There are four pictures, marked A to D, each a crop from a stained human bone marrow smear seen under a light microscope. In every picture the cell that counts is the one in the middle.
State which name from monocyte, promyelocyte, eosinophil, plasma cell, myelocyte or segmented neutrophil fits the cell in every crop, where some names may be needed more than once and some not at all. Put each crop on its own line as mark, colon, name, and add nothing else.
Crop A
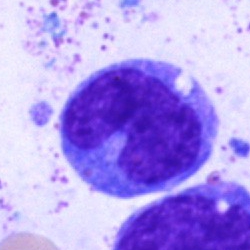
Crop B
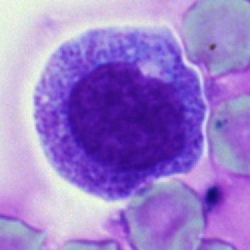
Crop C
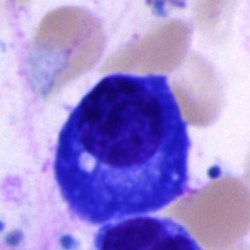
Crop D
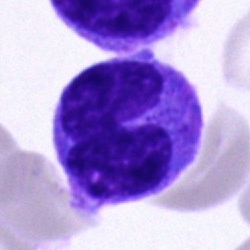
A: monocyte
B: promyelocyte
C: plasma cell
D: monocyte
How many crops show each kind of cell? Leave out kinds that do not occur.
monocyte: 2
promyelocyte: 1
plasma cell: 1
